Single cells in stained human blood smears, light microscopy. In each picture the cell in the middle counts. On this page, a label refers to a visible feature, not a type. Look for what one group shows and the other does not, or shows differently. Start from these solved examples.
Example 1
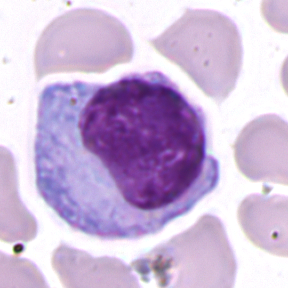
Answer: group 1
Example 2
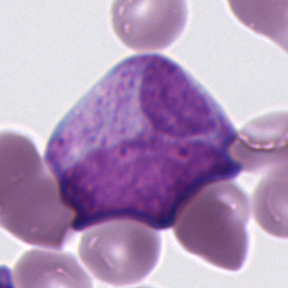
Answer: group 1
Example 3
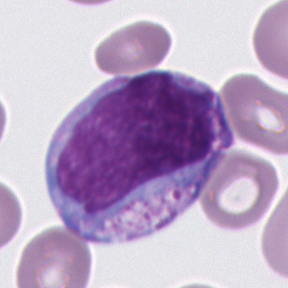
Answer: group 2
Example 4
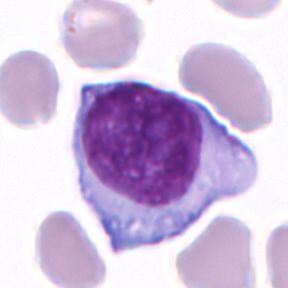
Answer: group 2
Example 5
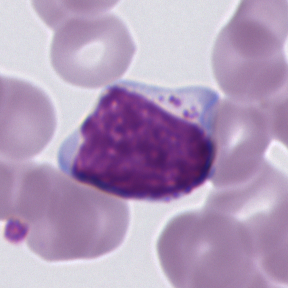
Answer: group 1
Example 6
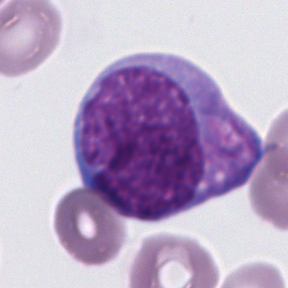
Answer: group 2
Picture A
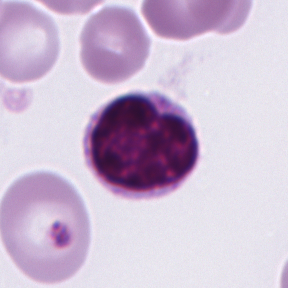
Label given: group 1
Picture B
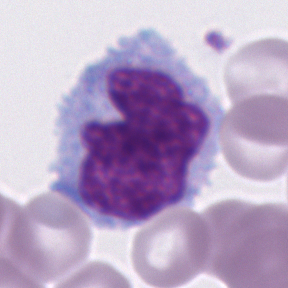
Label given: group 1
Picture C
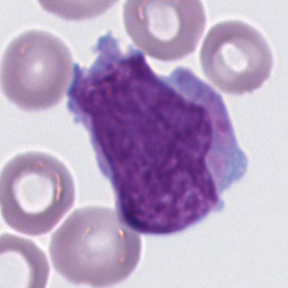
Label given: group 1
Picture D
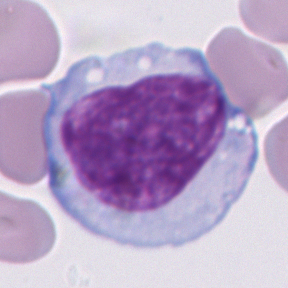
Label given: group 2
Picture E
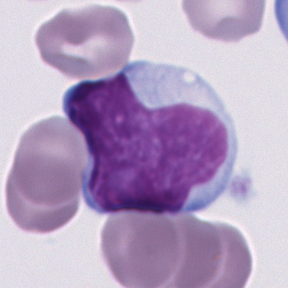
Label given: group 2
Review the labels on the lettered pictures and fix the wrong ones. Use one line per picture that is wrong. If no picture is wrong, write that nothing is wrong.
All correct.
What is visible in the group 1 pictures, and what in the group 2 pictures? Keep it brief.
In group 1: no vacuoles. In group 2: vacuoles present.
